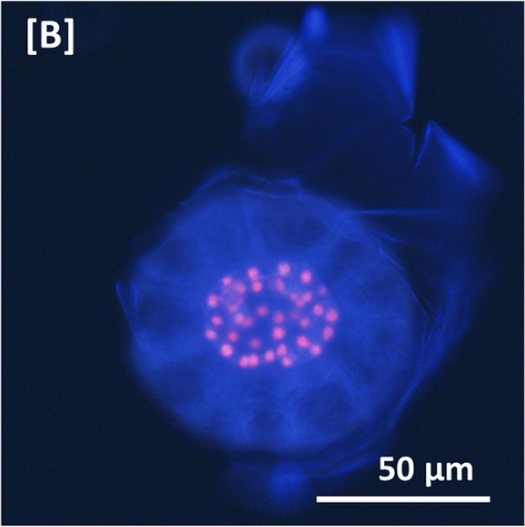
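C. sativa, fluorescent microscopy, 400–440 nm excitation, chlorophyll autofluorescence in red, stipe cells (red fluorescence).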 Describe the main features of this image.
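A round glandular trichome head is seen face-on, glowing blue, with faint outlines of several broad cells arranged around the centre, the disc cells of the discoid layer. Thin, folded, sheet-like blue fragments extend around and above the head, especially at the top, remnants of the torn cuticular layer that once covered the glandular cavity. The head's rim is roughly circular, and the whole structure lies against a dark background.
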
